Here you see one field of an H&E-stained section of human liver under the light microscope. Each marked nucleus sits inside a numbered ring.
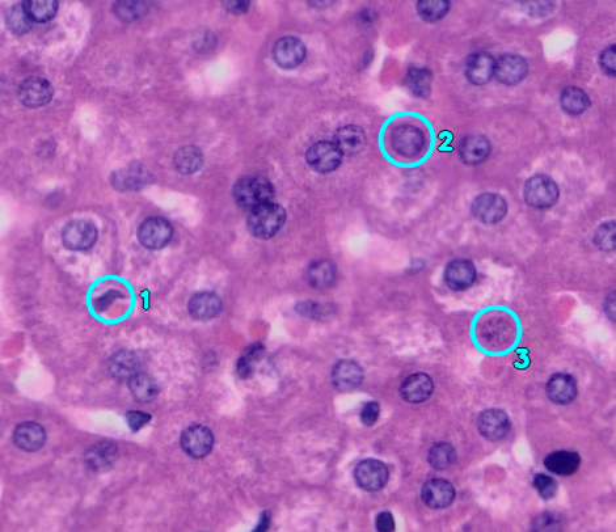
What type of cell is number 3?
hepatocyte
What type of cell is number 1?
endothelial cell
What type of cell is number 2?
hepatocyte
